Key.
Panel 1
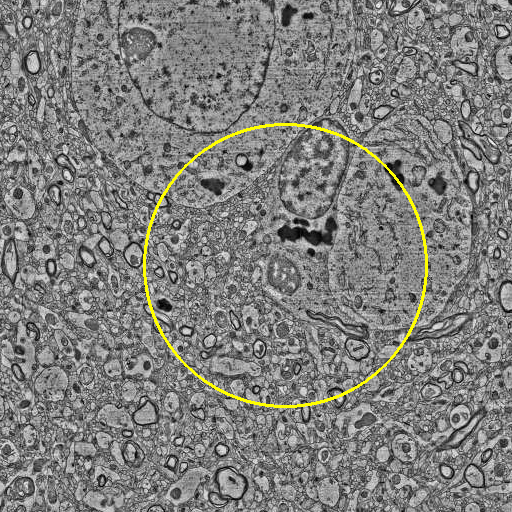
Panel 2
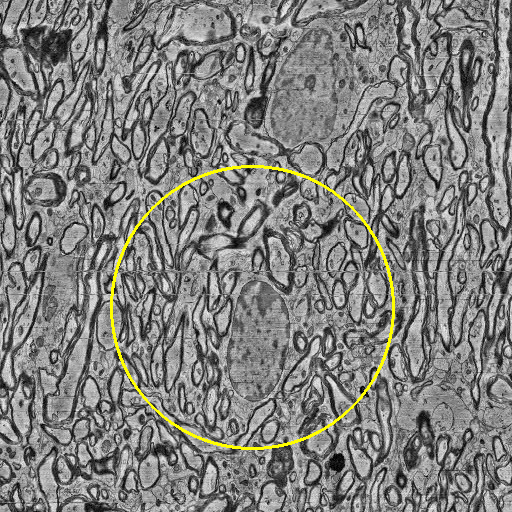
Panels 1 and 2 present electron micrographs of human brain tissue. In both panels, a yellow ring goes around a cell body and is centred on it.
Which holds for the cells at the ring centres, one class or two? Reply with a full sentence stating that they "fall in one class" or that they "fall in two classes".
Taken together, the ring-centre cells of the two panels fall in two classes.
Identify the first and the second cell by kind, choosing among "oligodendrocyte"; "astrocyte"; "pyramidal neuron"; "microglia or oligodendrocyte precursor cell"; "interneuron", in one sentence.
The one in the first picture is an oligodendrocyte, while the one in the second is a microglial cell or oligodendrocyte precursor cell.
